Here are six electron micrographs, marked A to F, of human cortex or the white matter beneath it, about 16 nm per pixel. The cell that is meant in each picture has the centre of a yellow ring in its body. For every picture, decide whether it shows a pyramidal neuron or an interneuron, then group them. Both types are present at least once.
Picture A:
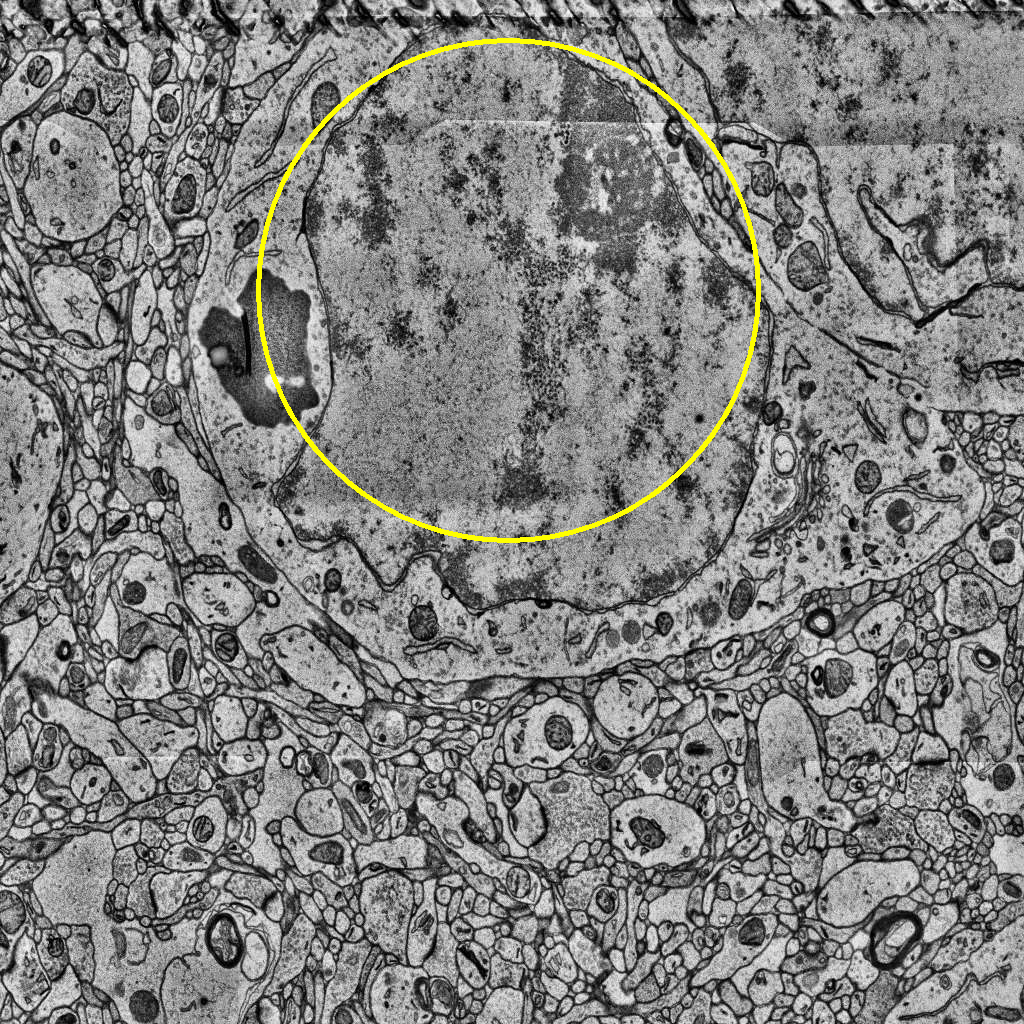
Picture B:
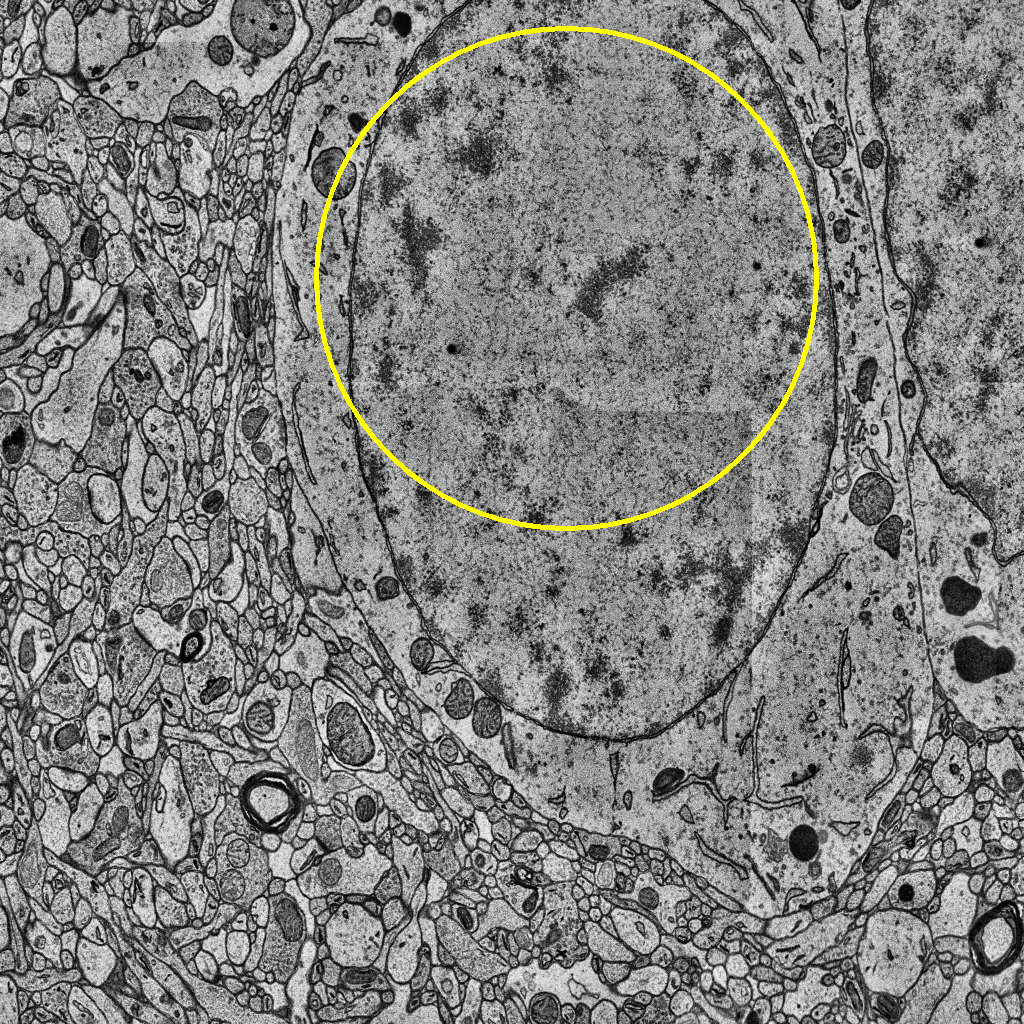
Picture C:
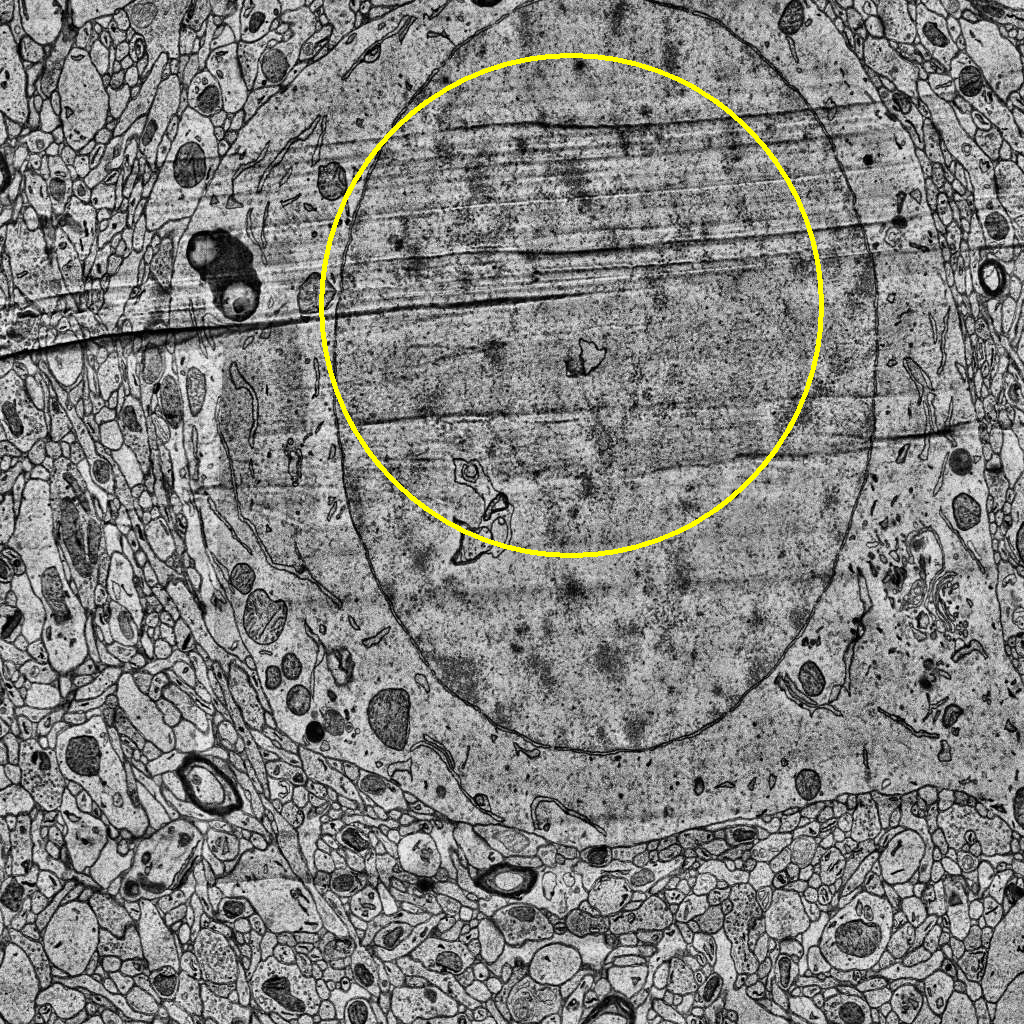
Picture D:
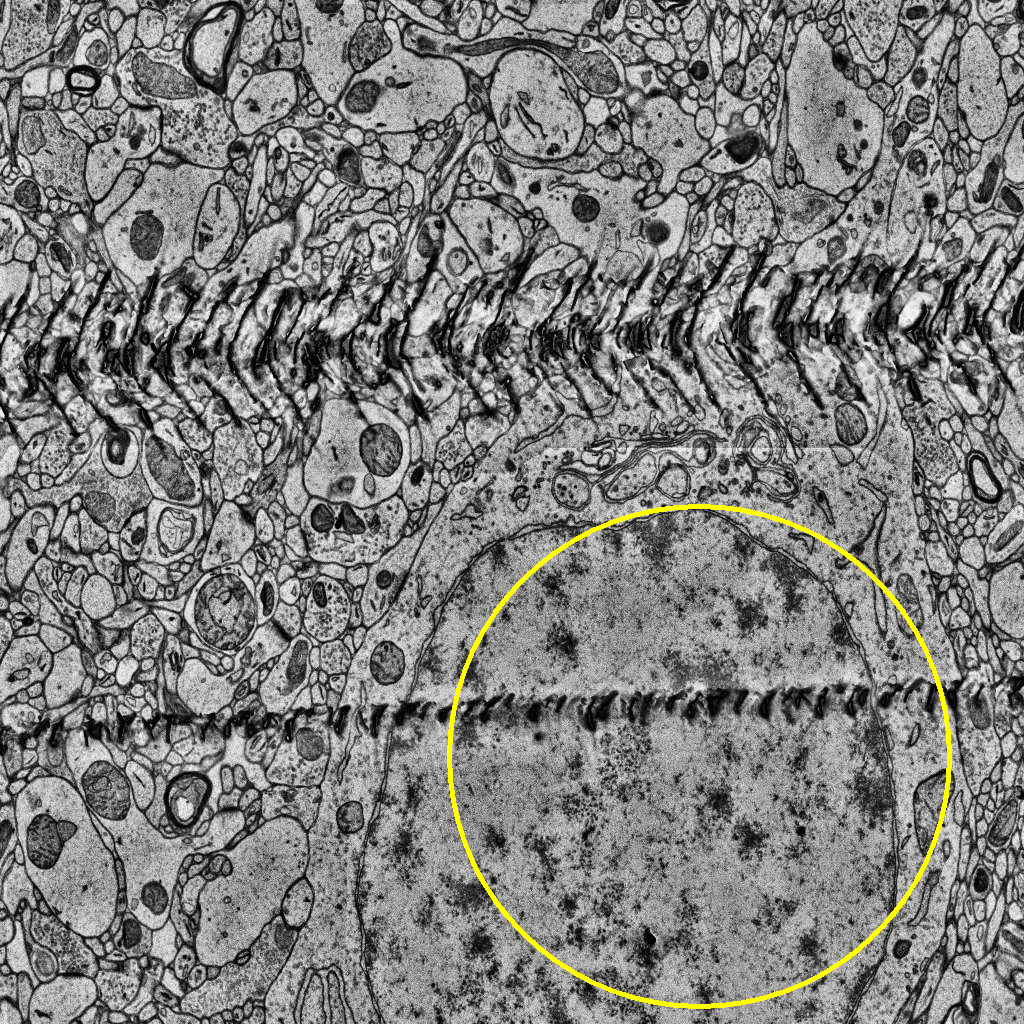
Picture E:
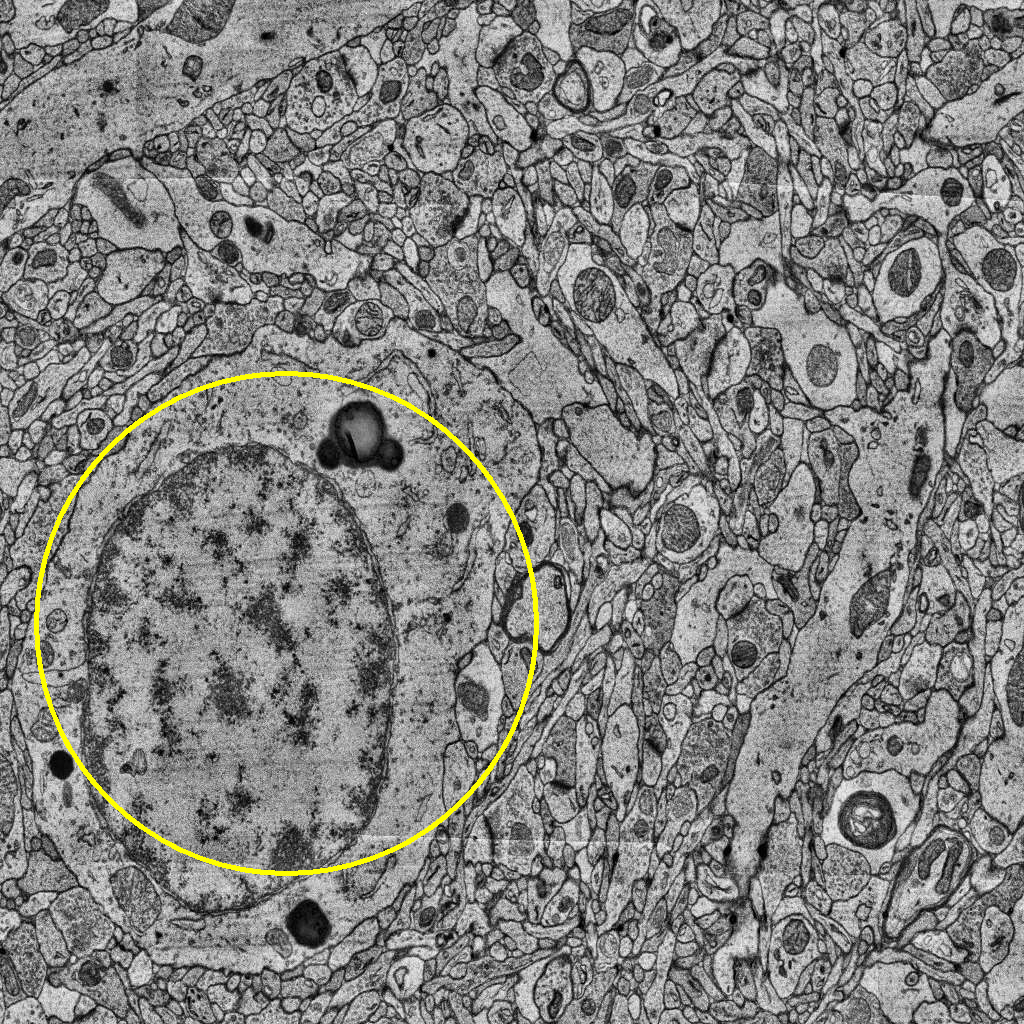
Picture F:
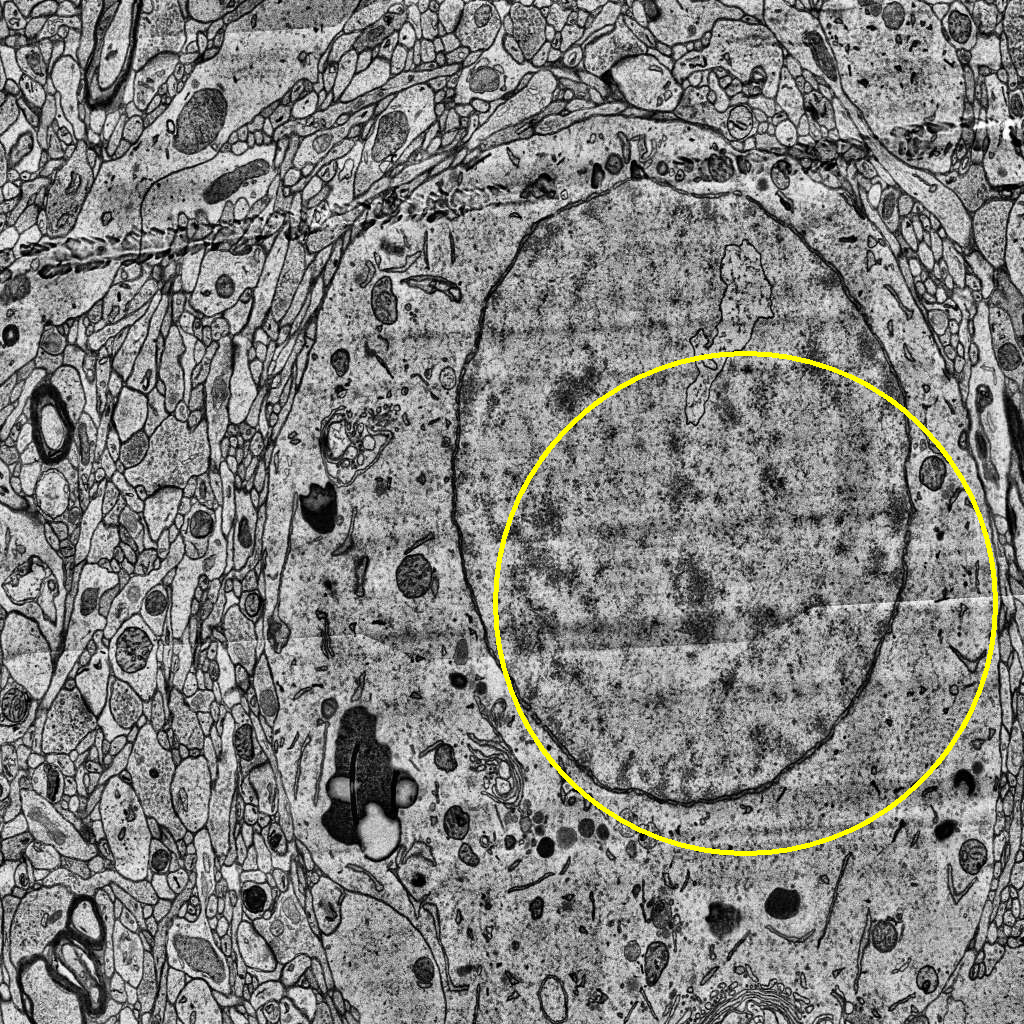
Pictures B, C, E and F show pyramidal neurons, and pictures A and D show interneurons.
